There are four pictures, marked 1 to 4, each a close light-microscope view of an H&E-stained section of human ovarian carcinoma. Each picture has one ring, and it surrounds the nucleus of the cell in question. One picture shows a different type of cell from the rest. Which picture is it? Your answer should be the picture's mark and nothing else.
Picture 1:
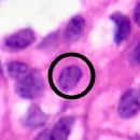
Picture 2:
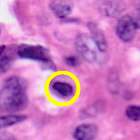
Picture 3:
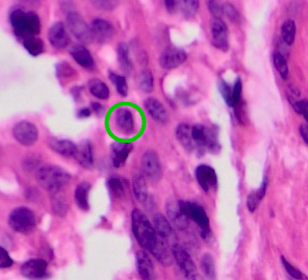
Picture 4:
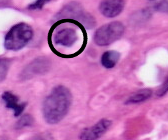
4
